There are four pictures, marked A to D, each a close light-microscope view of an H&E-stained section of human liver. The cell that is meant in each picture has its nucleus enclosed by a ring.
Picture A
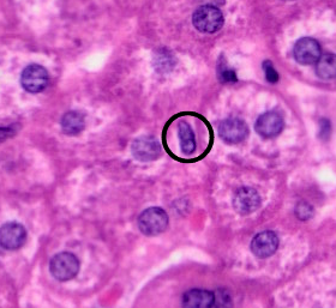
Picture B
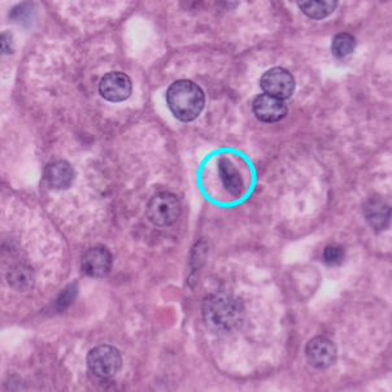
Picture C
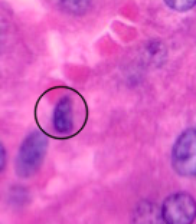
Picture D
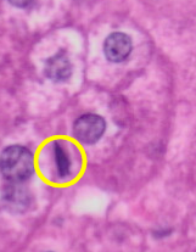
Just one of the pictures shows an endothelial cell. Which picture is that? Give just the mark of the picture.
B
